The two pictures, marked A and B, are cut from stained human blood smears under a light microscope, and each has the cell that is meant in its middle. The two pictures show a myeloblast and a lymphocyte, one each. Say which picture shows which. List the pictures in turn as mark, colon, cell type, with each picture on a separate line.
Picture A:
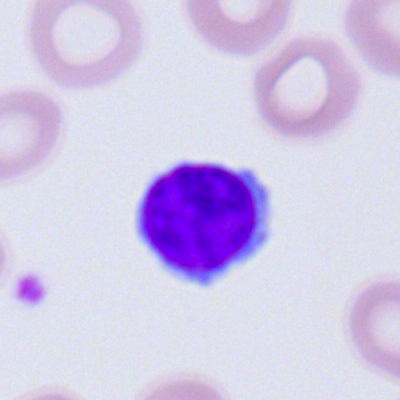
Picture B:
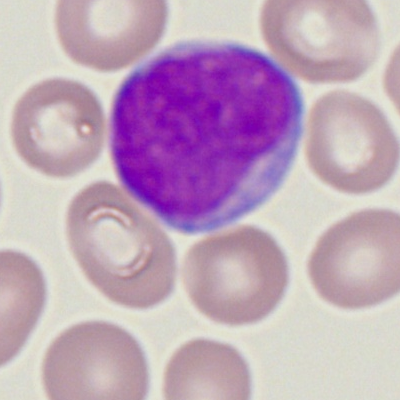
A: lymphocyte
B: myeloblast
